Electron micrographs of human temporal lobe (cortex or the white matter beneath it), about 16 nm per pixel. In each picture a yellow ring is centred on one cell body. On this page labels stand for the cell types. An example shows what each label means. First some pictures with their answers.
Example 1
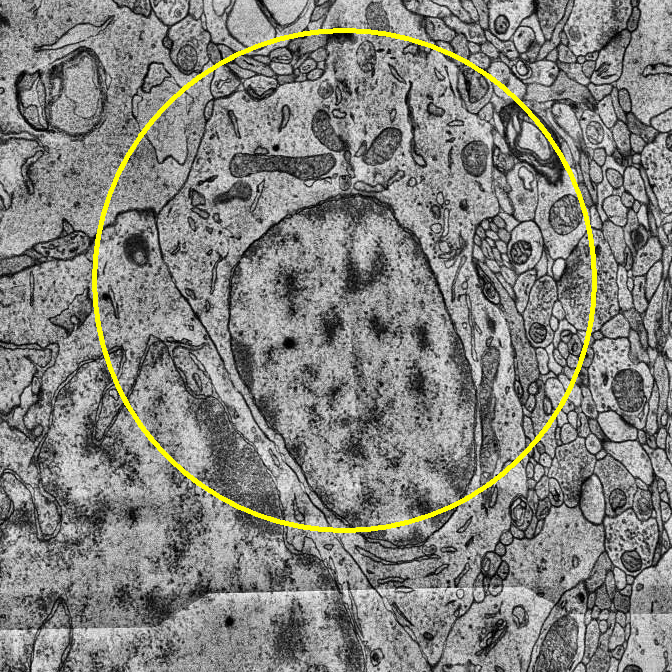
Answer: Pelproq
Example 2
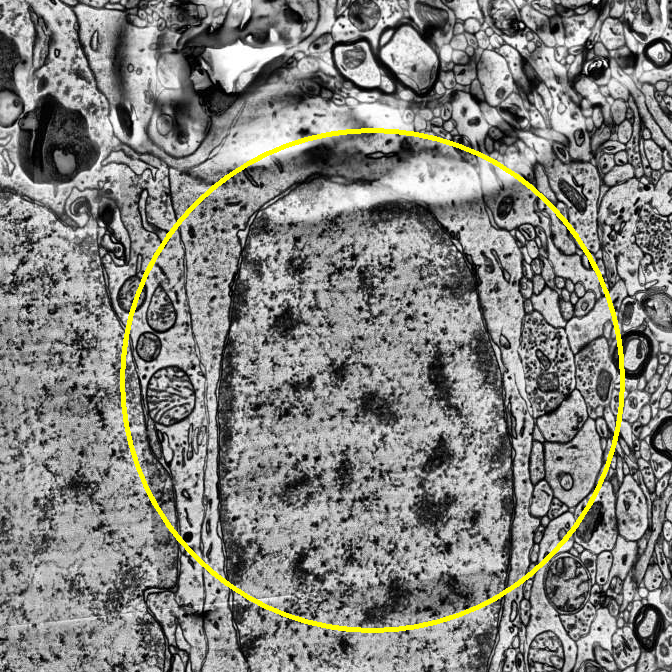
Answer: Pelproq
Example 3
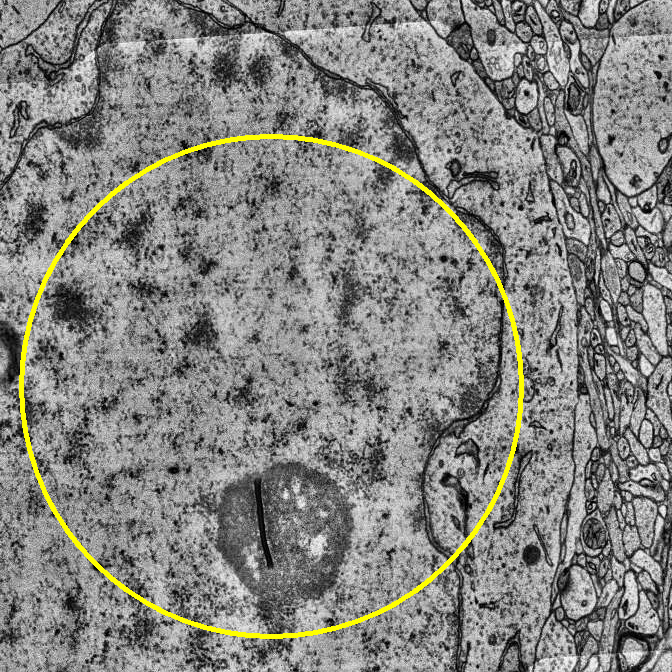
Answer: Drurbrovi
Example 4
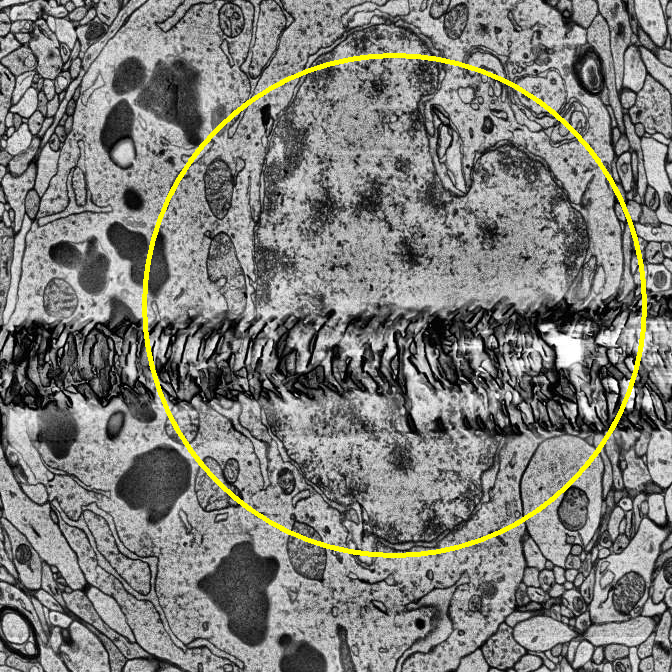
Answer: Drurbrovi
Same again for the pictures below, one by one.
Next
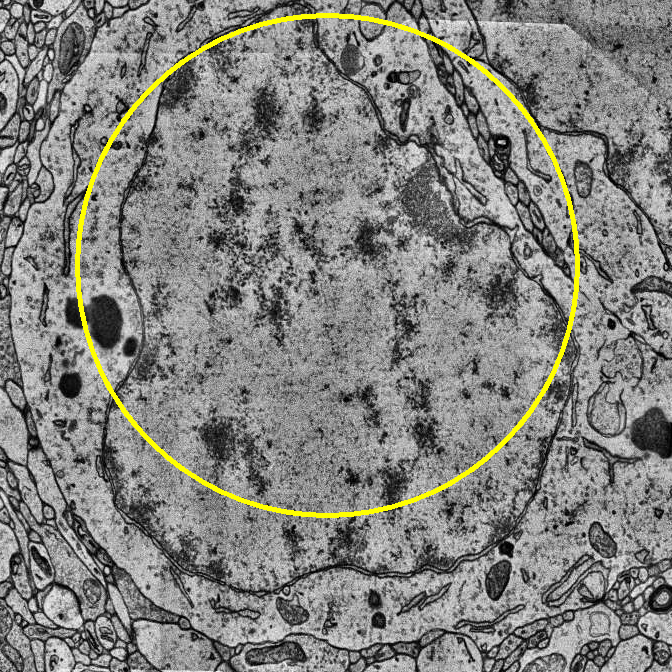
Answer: Drurbrovi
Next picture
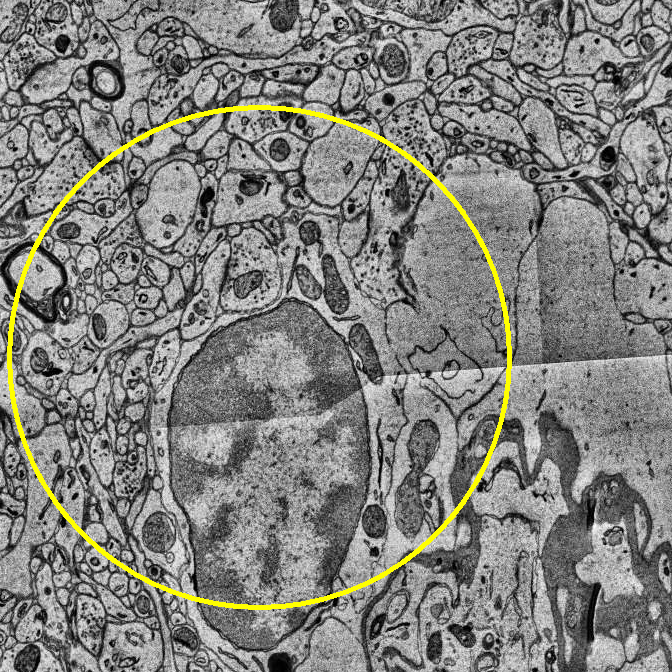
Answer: Pelproq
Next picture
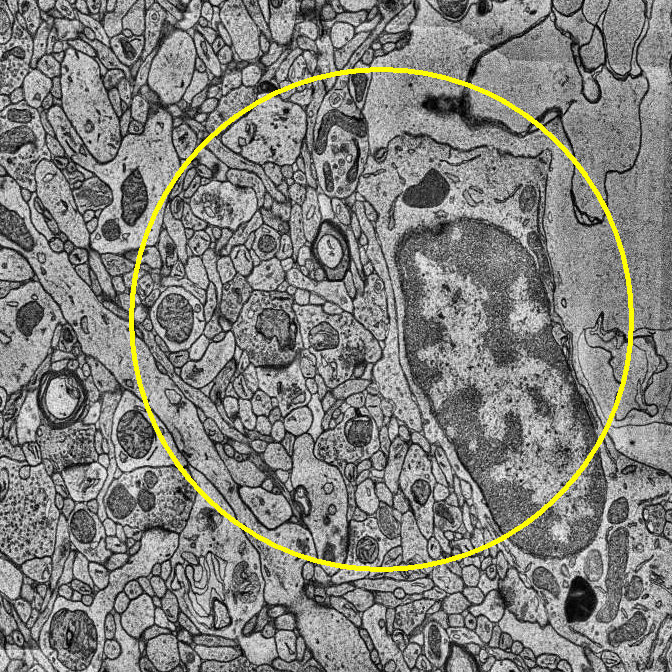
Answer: Pelproq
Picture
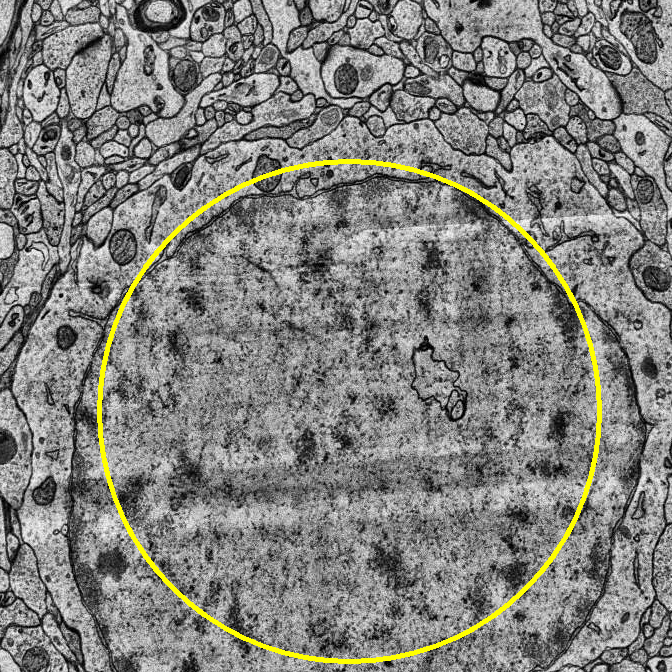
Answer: Drurbrovi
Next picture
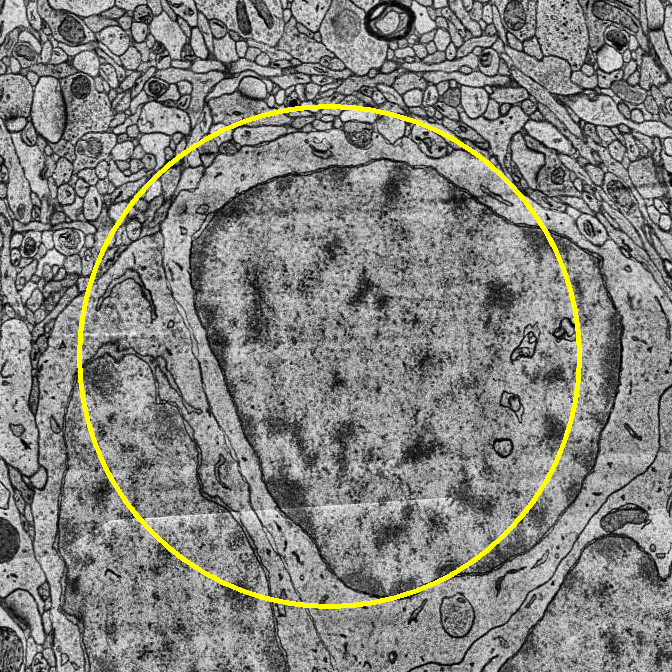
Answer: Pelproq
